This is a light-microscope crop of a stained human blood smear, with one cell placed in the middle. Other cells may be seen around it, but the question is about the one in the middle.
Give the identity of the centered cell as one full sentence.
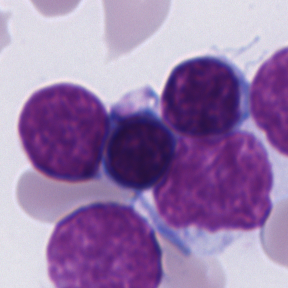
The crop shows a myeloblast in its centre.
